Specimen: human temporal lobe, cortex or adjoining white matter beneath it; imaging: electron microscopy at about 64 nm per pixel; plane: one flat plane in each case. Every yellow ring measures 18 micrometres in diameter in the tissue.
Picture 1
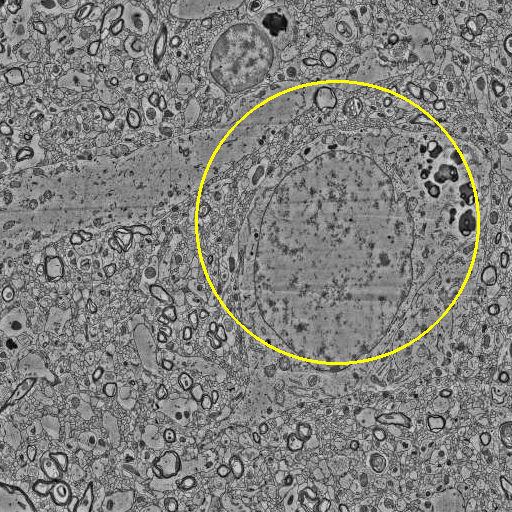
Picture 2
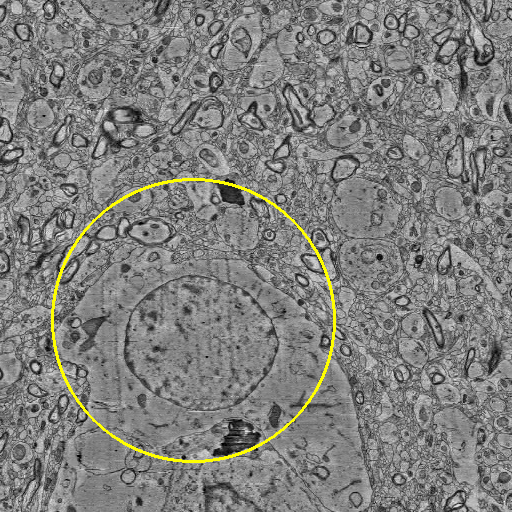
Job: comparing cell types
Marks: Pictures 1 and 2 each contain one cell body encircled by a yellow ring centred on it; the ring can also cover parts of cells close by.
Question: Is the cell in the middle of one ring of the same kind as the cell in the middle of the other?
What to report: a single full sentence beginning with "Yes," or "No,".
No, the cell at the ring centre in Picture 1 and its partner in Picture 2 are of two kinds.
